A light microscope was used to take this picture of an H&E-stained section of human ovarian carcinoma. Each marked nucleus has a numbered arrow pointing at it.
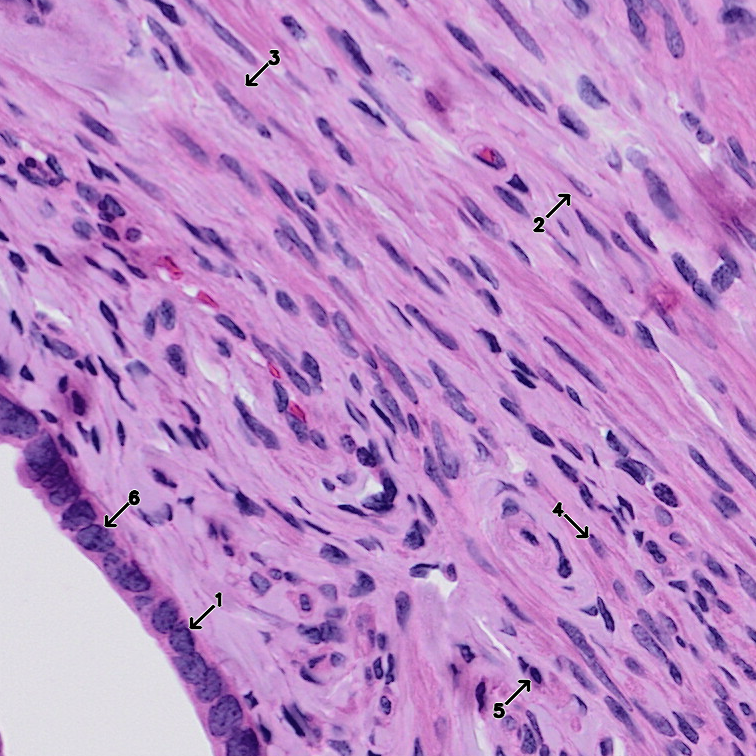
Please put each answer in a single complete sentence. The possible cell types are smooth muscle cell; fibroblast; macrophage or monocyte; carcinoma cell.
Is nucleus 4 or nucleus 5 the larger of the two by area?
Nucleus 4 covers more area, about 1.5 times as much as nucleus 5.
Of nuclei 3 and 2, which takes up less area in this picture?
With nucleus 3 about 2.5 times its size, nucleus 2 is the smaller of the two.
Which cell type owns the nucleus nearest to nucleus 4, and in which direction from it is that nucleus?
The closest nucleus belongs to a smooth muscle cell and sits above and to the right of nucleus 4.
